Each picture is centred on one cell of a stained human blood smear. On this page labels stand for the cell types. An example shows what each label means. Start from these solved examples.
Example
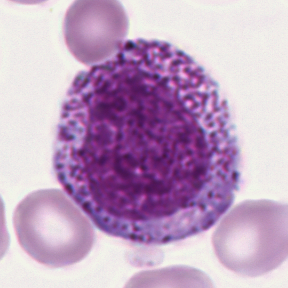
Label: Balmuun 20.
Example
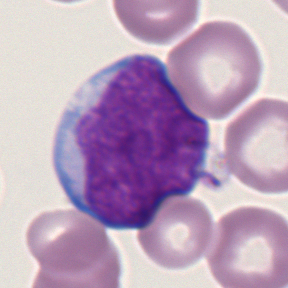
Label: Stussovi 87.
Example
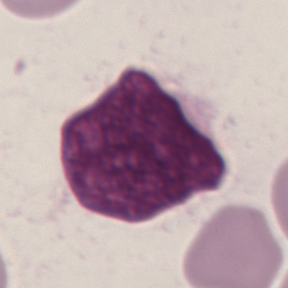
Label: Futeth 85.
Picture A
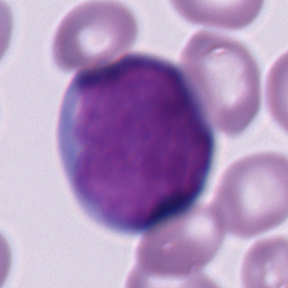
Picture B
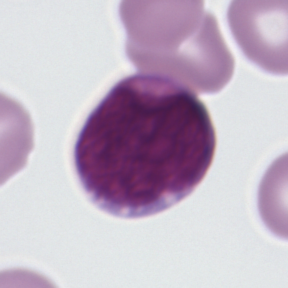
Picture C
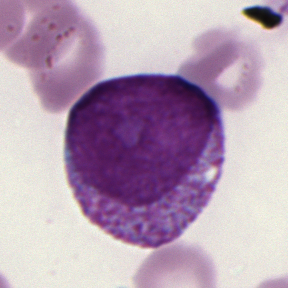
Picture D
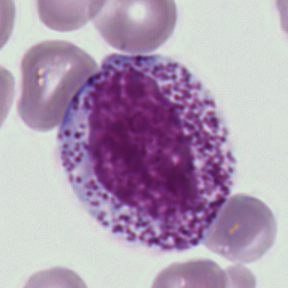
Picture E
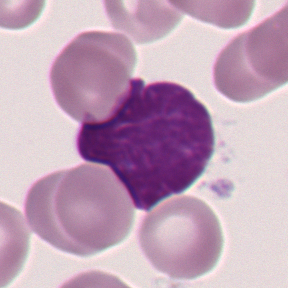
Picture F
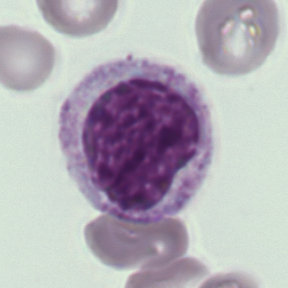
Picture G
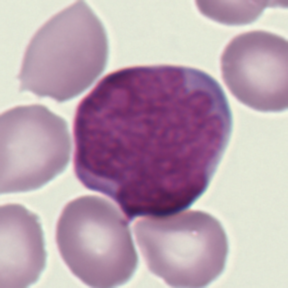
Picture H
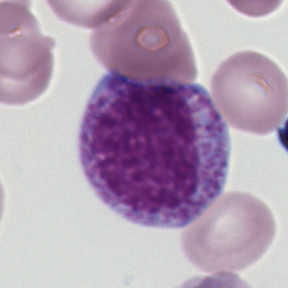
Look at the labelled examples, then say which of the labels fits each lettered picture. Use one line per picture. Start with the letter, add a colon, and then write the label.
A: Stussovi 87.
B: Stussovi 87.
C: Balmuun 20.
D: Balmuun 20.
E: Futeth 85.
F: Balmuun 20.
G: Stussovi 87.
H: Balmuun 20.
